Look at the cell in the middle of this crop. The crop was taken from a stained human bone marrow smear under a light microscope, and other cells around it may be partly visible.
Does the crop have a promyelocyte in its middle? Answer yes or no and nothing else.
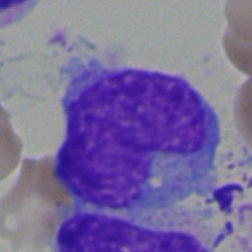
no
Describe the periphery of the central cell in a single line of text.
This cell has an uneven outline, either ragged or bearing projections.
